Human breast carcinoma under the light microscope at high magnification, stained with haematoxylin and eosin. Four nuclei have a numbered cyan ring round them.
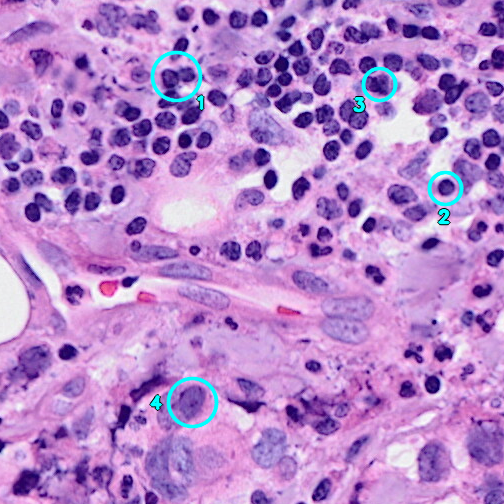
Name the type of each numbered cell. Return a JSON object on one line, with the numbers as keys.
{"1": "lymphocyte", "2": "lymphocyte", "3": "lymphocyte", "4": "carcinoma cell"}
